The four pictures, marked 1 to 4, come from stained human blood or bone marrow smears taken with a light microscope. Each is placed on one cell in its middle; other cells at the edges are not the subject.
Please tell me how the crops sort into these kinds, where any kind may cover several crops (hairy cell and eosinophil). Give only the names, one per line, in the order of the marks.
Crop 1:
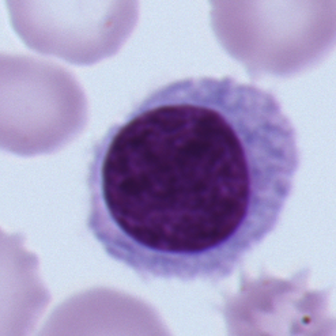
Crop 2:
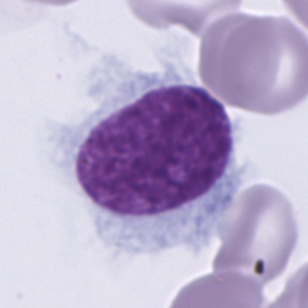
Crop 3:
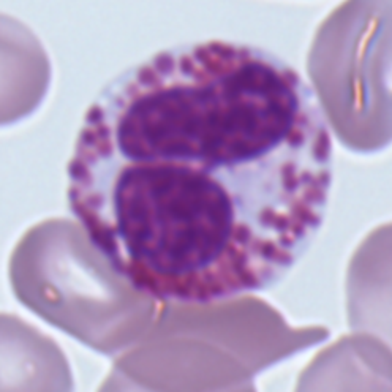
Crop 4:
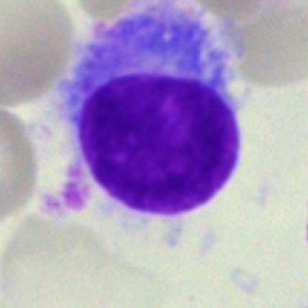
hairy cell
hairy cell
eosinophil
hairy cell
